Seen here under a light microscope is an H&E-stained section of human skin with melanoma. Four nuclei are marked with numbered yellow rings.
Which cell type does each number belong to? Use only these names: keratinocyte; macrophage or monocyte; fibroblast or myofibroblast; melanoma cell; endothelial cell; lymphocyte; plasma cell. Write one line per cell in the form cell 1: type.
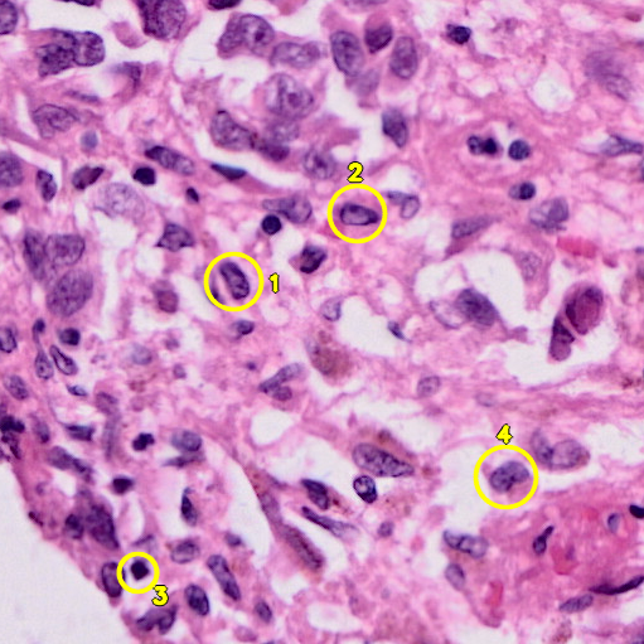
cell 1: macrophage or monocyte
cell 2: macrophage or monocyte
cell 3: lymphocyte
cell 4: macrophage or monocyte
